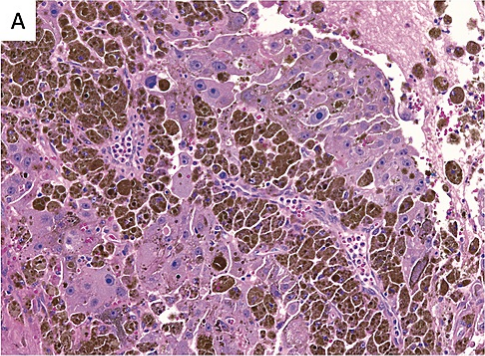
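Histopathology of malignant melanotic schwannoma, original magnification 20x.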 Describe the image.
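Sheets and nests of neoplastic cells, many so filled with dark brown pigment that their nuclei are hidden. The unpigmented cells have pale pink cytoplasm and round nuclei with distinct nucleoli, and thin fibrovascular septa with small vessels run between the nests.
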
